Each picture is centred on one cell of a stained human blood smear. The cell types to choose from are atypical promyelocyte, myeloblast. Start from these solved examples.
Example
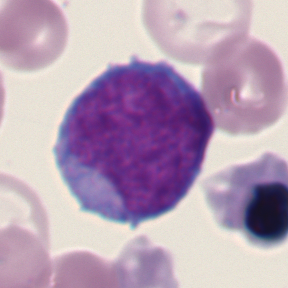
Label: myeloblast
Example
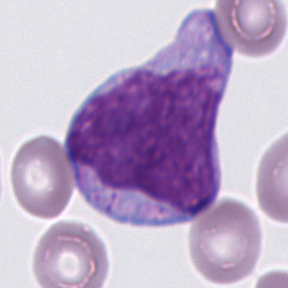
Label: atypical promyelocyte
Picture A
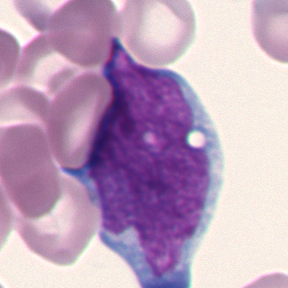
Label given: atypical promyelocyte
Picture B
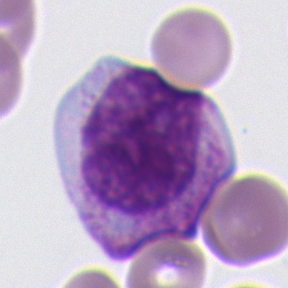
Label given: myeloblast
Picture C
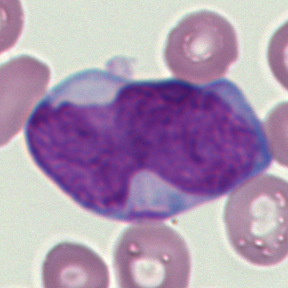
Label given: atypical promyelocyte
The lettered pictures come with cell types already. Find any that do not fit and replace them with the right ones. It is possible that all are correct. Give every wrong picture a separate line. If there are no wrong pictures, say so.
A is labelled atypical promyelocyte; correct label: myeloblast
B is labelled myeloblast; correct label: atypical promyelocyte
